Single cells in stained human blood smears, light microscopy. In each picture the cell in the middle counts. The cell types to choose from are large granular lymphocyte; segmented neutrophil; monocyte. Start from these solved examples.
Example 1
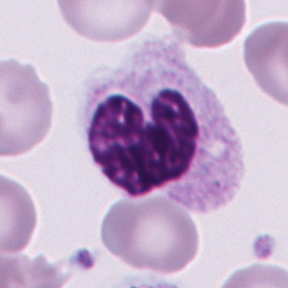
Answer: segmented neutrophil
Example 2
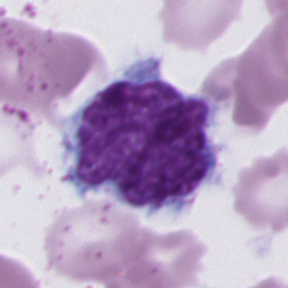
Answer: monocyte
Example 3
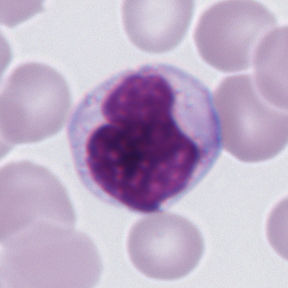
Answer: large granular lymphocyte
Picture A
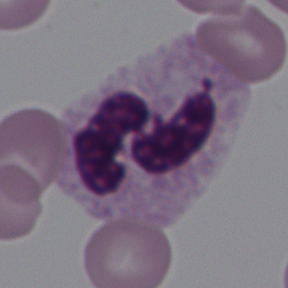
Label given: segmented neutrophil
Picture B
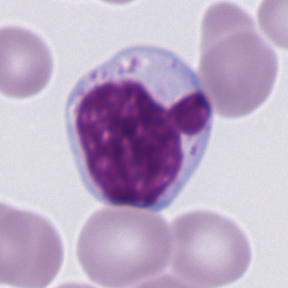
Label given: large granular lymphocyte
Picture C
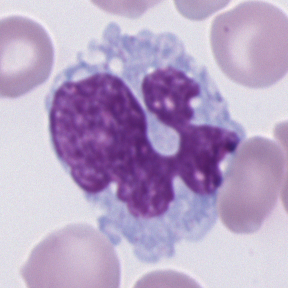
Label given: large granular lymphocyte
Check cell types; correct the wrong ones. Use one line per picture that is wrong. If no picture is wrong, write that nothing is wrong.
C: not large granular lymphocyte but monocyte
